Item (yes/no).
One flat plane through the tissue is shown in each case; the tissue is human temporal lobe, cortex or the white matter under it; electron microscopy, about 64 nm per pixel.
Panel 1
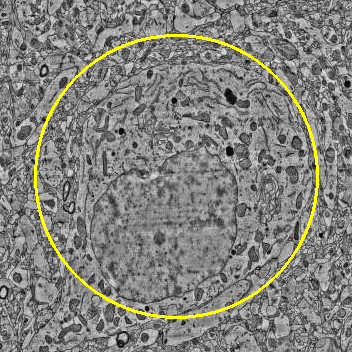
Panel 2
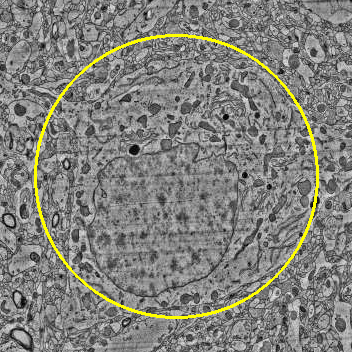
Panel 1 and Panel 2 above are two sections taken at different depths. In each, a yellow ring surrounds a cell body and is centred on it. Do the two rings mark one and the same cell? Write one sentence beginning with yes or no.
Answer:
Yes, a single cell is marked twice, once by each yellow ring.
